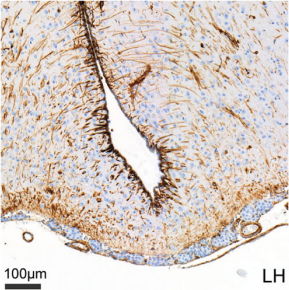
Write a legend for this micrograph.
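A narrow vertical midline cavity is lined by darkly brown-stained cells whose fine brown processes extend laterally and downward into tissue scattered with small blue nuclei. The brown processes are densest along the ventricle wall and near the ventral surface of the tissue. These are tanycytes lining the third ventricle of the hypothalamus.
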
